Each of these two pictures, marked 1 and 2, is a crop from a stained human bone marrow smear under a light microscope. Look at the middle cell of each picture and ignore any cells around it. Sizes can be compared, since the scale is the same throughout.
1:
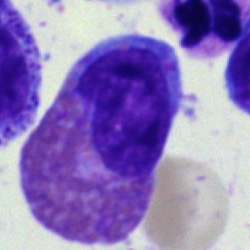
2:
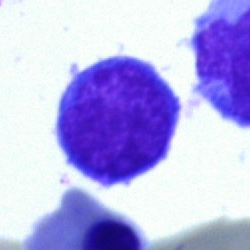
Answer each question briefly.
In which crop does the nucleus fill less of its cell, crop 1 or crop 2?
1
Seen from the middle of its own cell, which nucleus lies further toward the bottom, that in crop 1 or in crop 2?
2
